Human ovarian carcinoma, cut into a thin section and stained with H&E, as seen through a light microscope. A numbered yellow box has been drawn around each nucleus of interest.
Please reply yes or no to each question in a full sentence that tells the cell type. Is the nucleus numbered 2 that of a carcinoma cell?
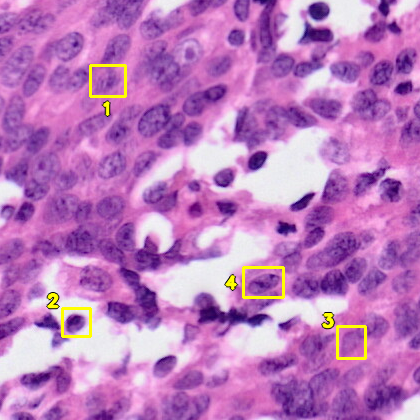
Yes, the cell at the mark numbered 2 is a carcinoma cell.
